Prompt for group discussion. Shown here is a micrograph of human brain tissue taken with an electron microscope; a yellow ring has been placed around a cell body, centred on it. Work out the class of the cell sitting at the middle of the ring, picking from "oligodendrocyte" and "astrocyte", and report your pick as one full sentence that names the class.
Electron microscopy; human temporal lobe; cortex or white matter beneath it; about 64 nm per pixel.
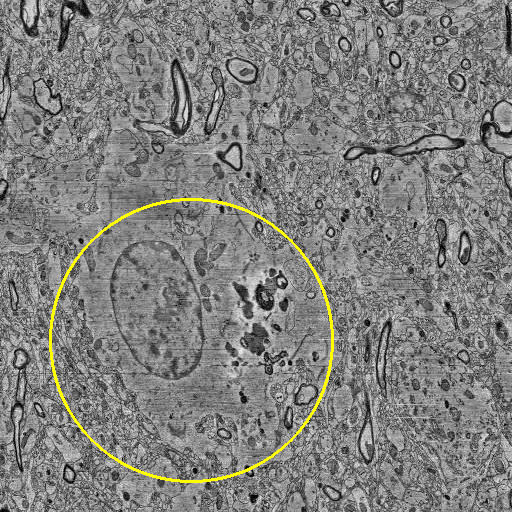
The cell sitting at the middle of the yellow ring is an astrocyte.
